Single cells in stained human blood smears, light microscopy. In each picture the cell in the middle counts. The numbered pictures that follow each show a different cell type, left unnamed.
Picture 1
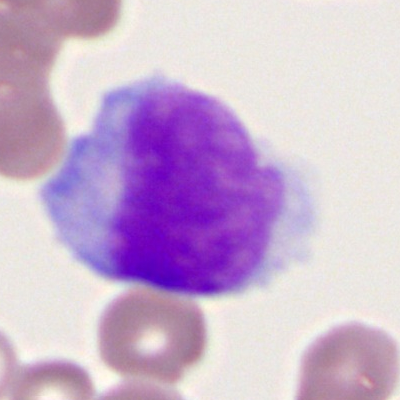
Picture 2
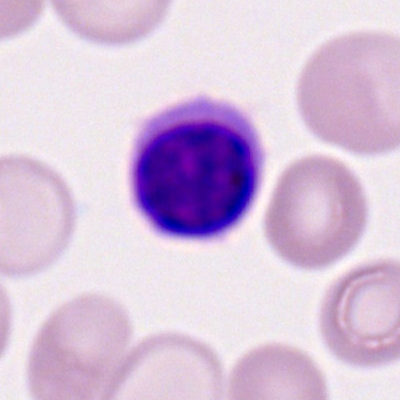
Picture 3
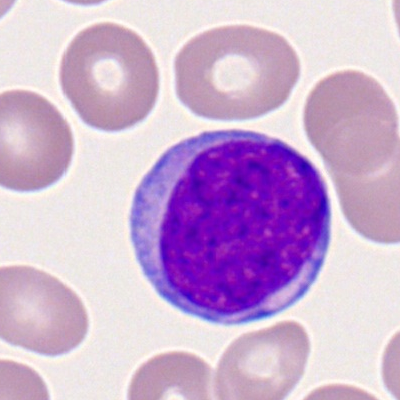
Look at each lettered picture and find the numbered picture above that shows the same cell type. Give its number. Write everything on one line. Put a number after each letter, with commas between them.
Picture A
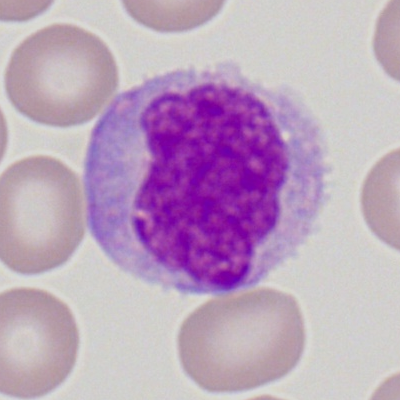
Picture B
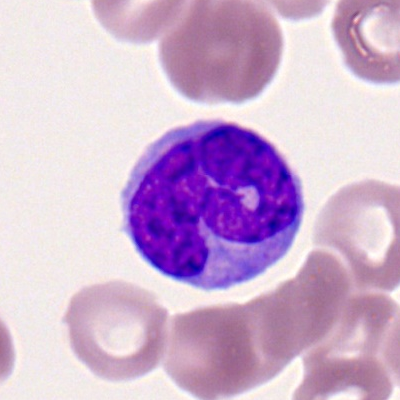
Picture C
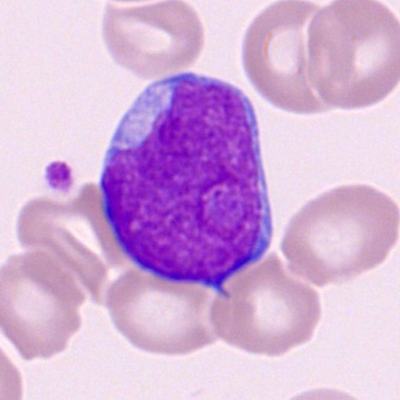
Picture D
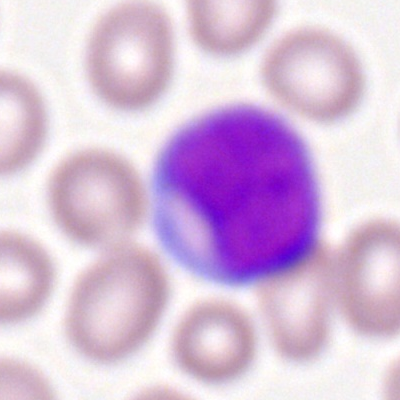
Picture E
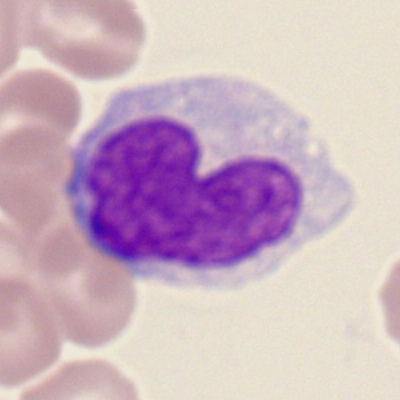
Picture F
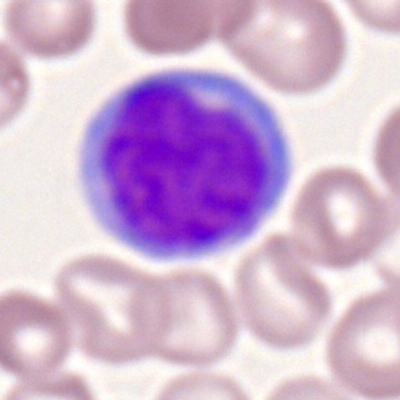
A 1, B 1, C 3, D 3, E 1, F 1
